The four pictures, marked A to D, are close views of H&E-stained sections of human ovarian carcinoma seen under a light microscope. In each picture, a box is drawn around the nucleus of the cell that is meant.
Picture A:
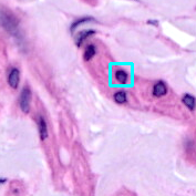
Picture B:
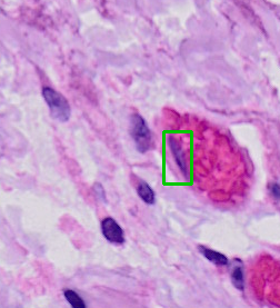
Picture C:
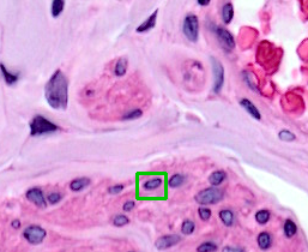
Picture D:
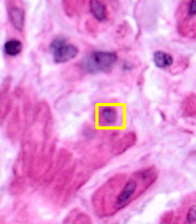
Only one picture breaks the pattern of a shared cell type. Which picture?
B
